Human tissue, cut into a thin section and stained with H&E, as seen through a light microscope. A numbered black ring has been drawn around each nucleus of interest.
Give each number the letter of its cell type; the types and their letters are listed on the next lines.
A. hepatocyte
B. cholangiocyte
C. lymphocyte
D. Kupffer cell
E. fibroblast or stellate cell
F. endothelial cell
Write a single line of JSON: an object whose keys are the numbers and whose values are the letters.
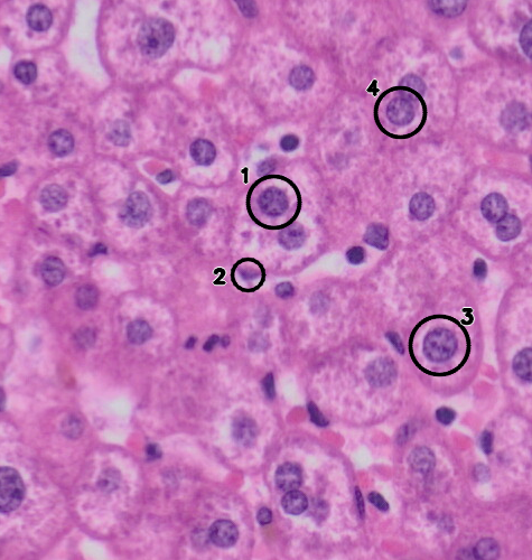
{"1": "A", "2": "F", "3": "A", "4": "A"}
